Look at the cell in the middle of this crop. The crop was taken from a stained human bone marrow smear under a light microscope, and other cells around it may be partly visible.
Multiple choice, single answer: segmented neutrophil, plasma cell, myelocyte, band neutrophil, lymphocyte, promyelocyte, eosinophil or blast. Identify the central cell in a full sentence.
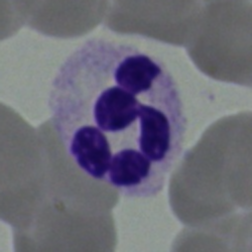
Standing at the centre of this crop is a segmented neutrophil.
